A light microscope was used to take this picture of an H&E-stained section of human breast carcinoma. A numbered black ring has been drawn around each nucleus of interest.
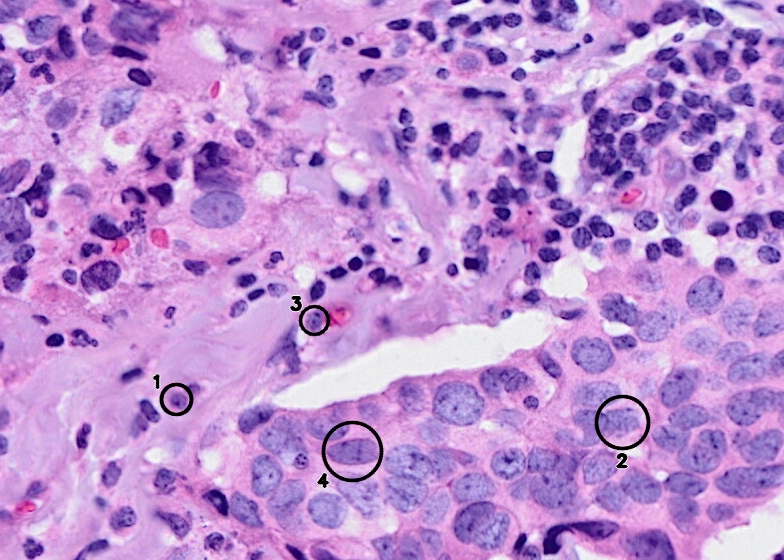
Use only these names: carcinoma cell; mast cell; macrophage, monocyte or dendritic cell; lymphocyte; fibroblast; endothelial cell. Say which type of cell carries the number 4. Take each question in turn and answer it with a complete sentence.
In the tissue shown, cell 4 is a carcinoma cell.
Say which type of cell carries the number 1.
The marked nucleus 1 is that of a mast cell.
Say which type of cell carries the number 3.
In the marked set, the cell given number 3 is an endothelial cell.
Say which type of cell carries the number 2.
The one numbered 2 among the marked cells is a carcinoma cell.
